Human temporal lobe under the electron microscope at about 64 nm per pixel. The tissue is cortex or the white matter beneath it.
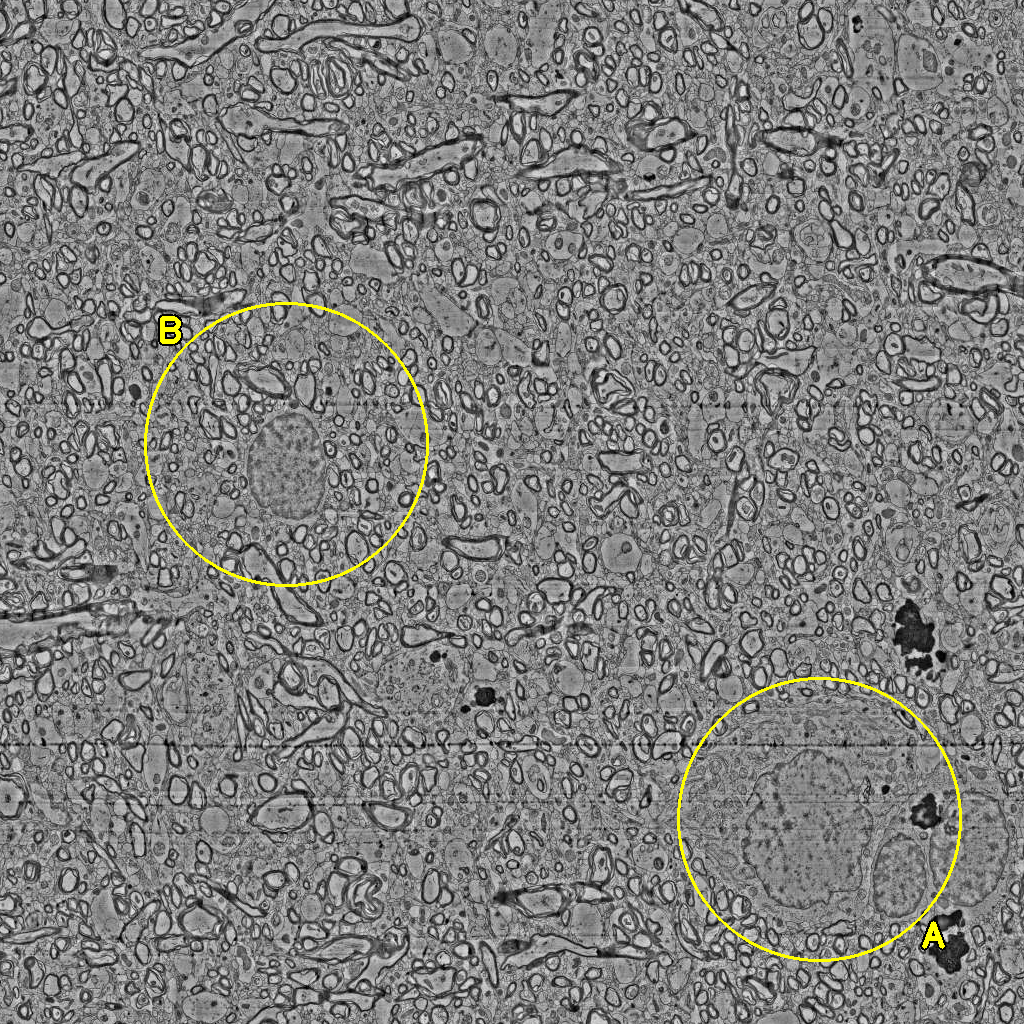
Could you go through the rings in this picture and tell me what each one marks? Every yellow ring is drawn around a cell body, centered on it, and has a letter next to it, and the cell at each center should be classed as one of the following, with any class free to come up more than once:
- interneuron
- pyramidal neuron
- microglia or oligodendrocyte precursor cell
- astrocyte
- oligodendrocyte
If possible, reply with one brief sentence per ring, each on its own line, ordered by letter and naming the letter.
The cell centered in ring A is an interneuron.
The cell centered in ring B is an oligodendrocyte.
